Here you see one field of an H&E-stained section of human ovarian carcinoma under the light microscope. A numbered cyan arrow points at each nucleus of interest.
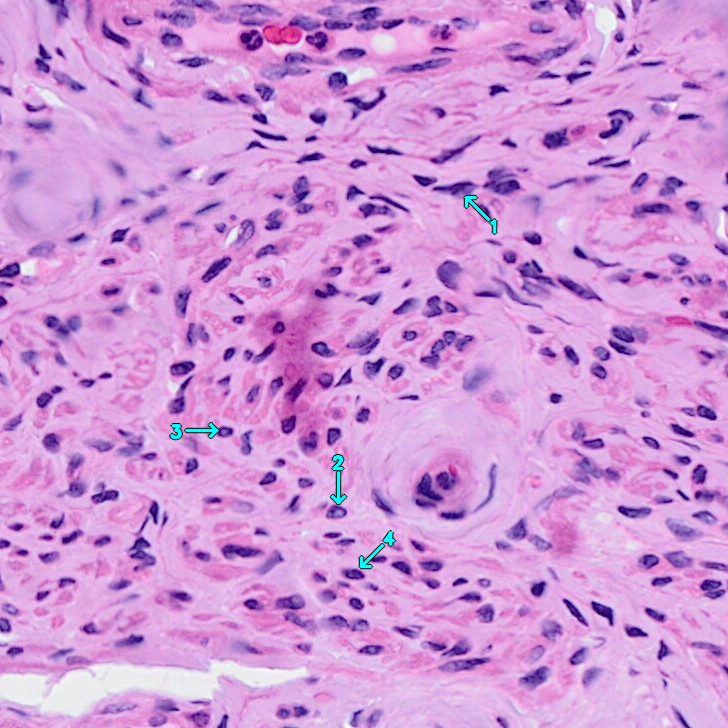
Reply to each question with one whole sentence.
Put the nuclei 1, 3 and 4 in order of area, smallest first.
By area, going up from the smallest, they rank 3, 4, 1.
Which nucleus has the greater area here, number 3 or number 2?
It is nucleus 2, which covers about 1.5 times the area of nucleus 3.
